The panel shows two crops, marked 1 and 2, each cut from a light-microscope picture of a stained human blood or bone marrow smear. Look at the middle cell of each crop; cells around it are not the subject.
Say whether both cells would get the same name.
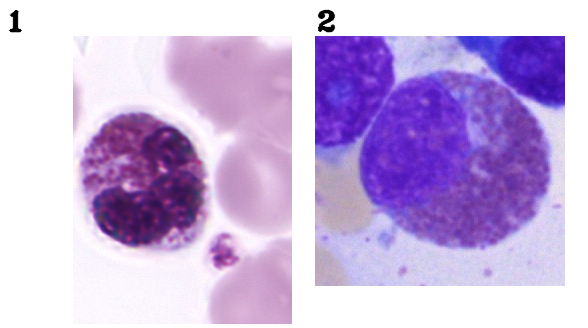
yes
